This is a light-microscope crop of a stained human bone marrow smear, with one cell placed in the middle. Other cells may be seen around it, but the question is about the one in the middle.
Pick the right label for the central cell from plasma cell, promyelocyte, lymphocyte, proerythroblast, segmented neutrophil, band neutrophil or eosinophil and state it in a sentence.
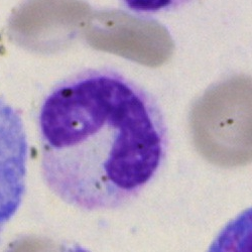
As for the central cell, it is a band neutrophil.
